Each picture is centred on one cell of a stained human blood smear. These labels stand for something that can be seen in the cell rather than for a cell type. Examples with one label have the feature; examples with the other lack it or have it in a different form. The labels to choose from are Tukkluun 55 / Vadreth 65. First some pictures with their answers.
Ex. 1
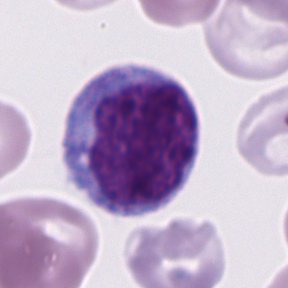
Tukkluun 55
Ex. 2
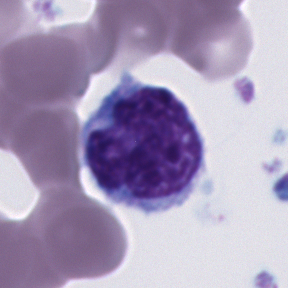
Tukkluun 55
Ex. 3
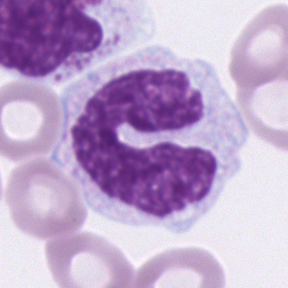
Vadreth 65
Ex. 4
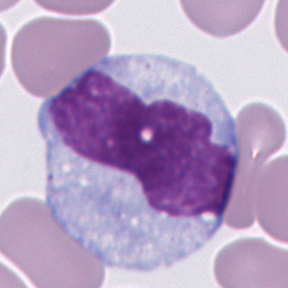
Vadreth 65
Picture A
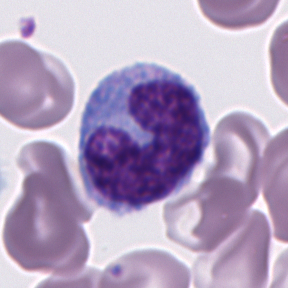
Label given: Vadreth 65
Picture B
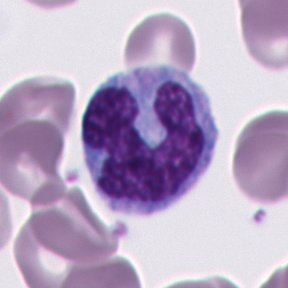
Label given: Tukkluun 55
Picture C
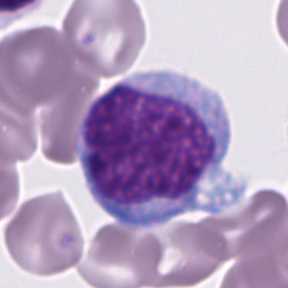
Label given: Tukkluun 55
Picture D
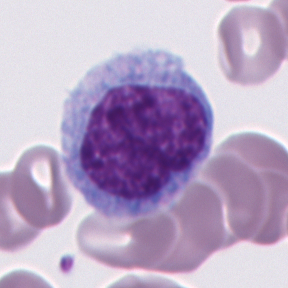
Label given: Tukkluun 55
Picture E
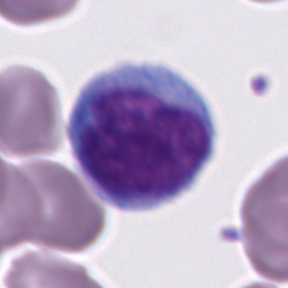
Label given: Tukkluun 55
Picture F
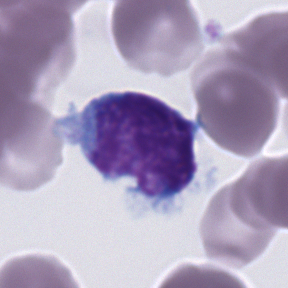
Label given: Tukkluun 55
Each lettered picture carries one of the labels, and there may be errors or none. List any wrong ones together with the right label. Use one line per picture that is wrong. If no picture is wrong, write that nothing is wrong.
B should be Vadreth 65, not Tukkluun 55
